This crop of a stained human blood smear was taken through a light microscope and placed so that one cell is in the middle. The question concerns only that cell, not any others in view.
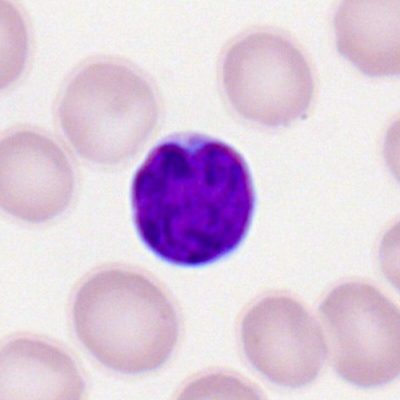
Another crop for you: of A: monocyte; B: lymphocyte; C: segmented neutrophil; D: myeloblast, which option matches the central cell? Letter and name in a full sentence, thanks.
Option B is correct, naming the cell in the middle as a lymphocyte.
